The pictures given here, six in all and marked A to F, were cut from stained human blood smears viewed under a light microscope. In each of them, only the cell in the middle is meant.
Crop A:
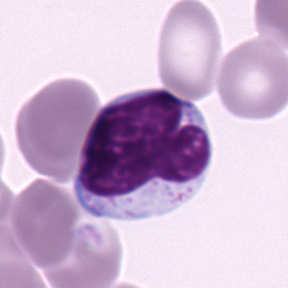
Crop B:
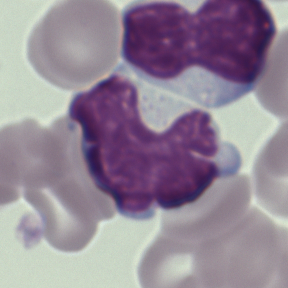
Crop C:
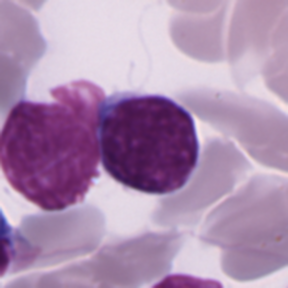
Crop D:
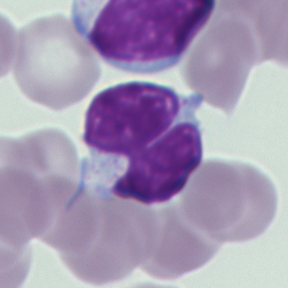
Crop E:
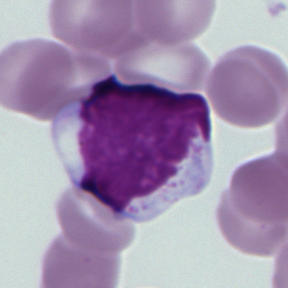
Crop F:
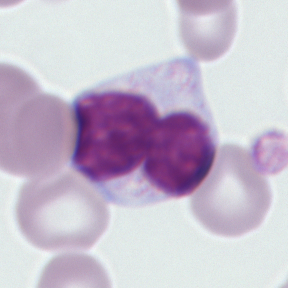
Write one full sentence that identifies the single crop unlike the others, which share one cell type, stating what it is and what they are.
Unlike the other crops, all showing large granular lymphocytes, crop C is a myeloblast.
